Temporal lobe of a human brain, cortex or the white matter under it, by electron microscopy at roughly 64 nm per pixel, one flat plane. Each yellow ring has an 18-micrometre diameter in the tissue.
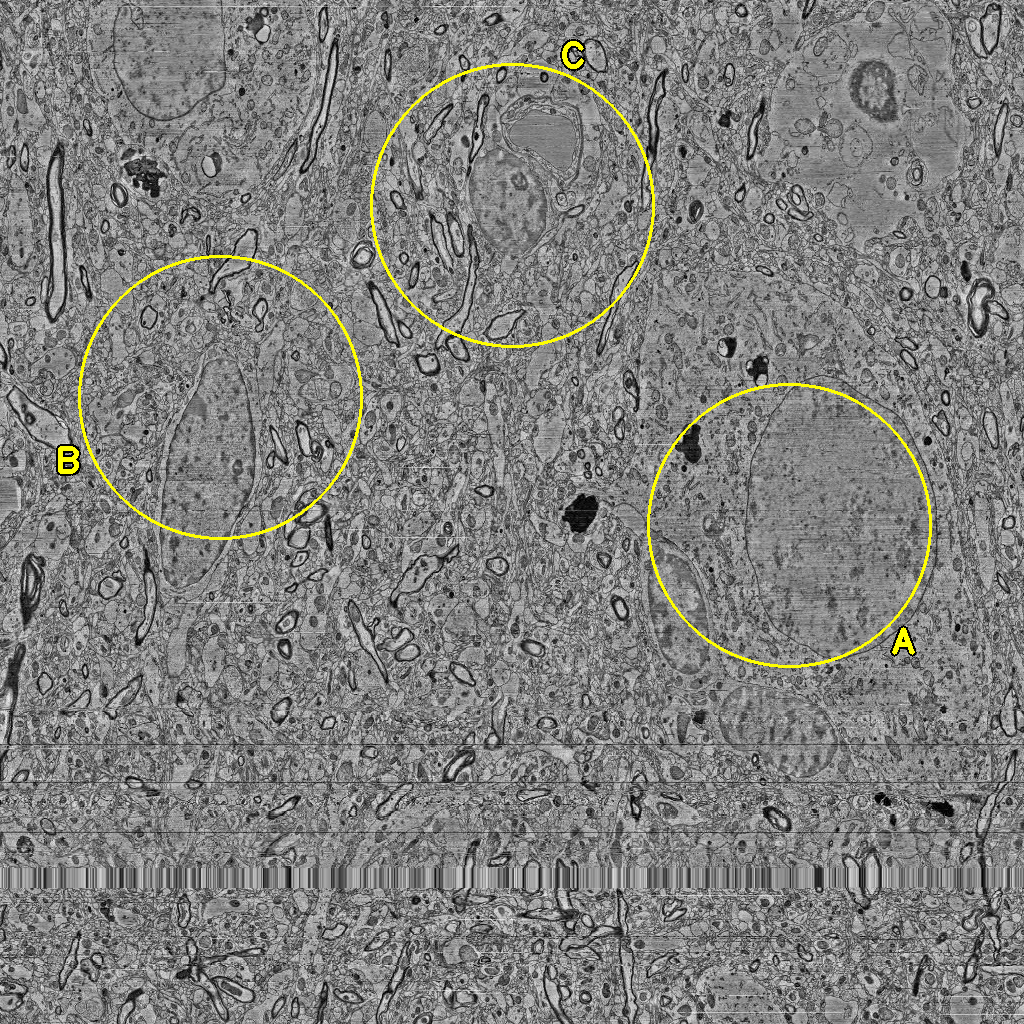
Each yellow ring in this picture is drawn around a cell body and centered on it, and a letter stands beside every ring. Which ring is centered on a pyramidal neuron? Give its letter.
A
